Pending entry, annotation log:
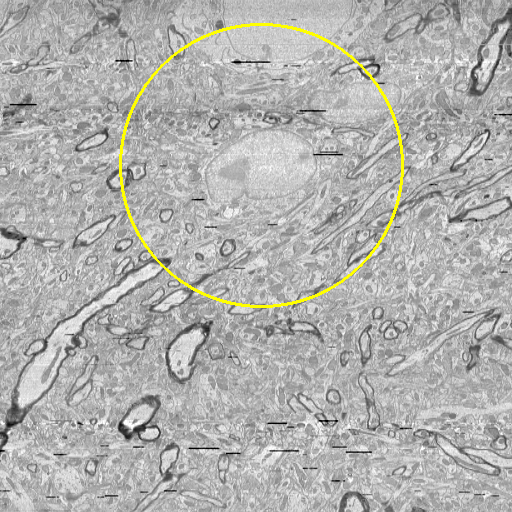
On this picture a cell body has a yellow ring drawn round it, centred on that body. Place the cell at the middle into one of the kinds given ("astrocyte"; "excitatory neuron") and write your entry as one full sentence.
The cell body at the middle of the yellow ring belongs to an astrocyte.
